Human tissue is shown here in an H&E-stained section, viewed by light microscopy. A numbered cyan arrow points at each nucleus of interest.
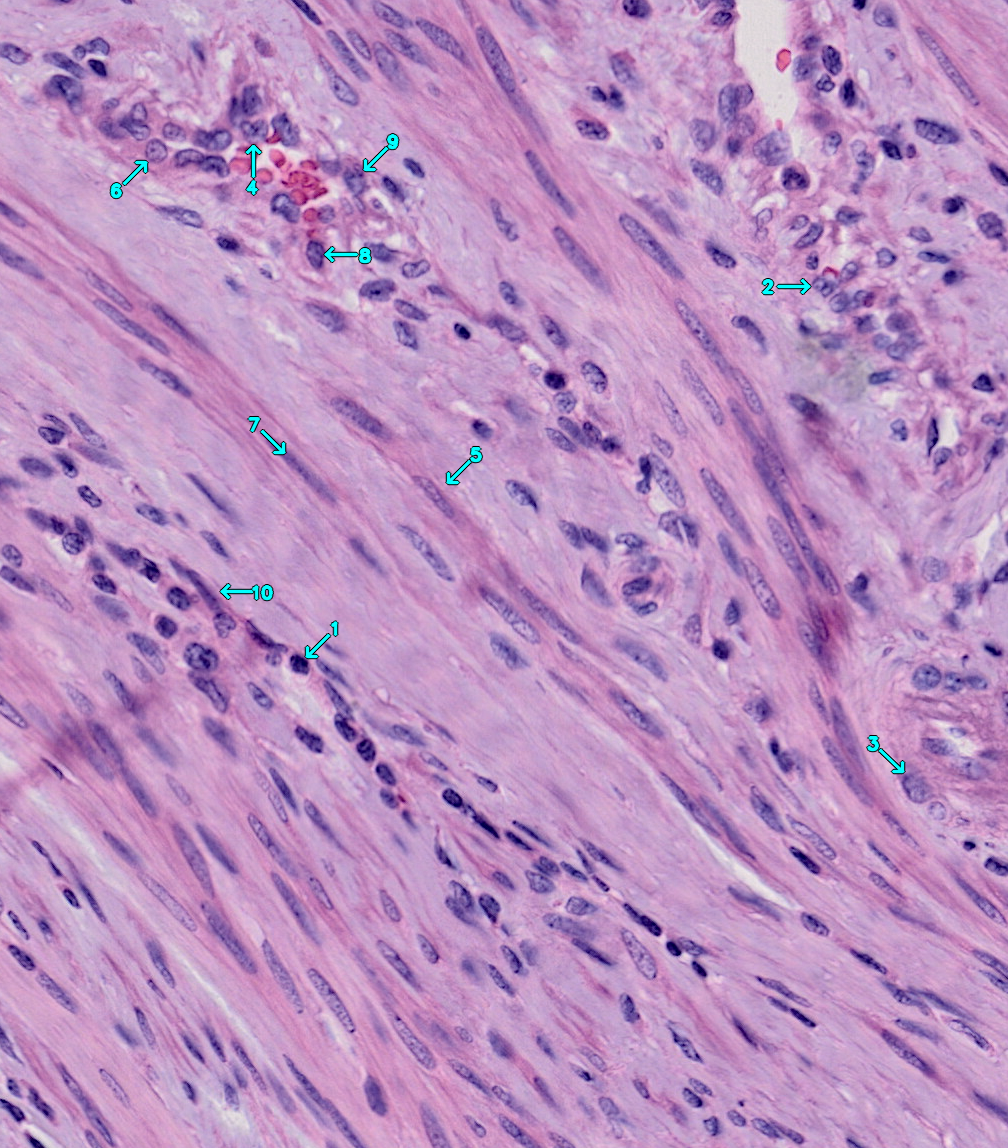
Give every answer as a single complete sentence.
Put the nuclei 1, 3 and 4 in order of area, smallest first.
Smallest first, the nuclei run 1, 4, 3.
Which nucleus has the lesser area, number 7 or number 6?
Number 6 is smaller, since number 7 takes up about 2 times as much area.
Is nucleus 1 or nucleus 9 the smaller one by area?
Nucleus 1 is the smaller one; nucleus 9 covers about 1.5 times its area.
